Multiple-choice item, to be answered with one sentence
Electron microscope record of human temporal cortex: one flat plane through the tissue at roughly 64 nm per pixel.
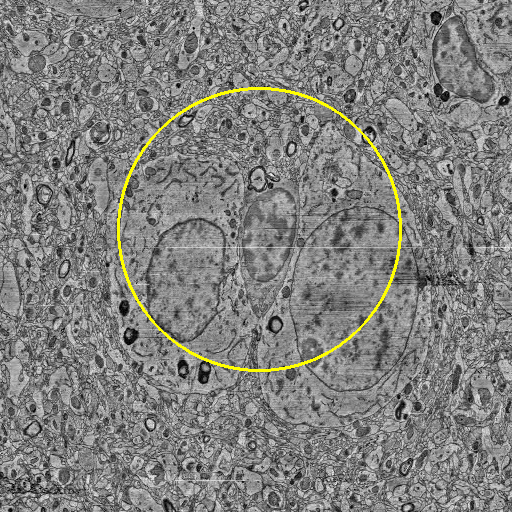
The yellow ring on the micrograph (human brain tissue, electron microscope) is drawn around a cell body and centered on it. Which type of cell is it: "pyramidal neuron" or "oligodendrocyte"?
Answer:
The ring is centered on an oligodendrocyte.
